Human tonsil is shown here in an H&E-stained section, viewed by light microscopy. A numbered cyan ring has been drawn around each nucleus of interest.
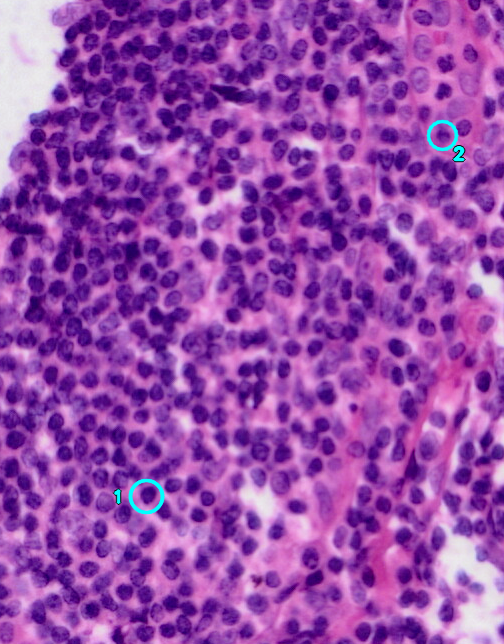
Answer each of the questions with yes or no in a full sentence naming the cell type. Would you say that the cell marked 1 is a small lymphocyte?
Yes, the marked cell with number 1 is a small lymphocyte.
